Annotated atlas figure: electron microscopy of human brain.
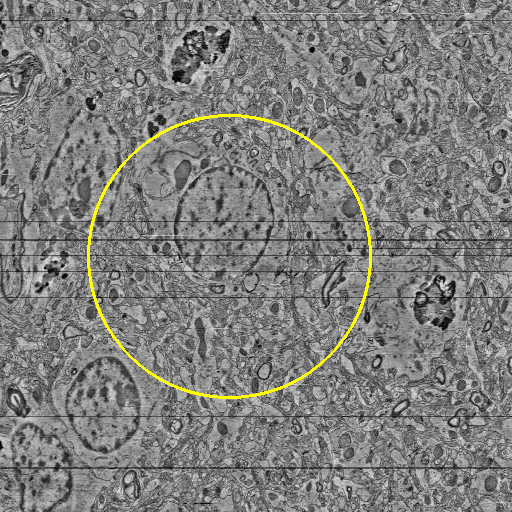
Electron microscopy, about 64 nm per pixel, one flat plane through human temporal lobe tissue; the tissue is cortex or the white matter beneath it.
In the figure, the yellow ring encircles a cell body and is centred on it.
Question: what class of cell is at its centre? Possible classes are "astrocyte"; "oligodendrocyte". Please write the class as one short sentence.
The yellow ring is drawn around an astrocyte.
